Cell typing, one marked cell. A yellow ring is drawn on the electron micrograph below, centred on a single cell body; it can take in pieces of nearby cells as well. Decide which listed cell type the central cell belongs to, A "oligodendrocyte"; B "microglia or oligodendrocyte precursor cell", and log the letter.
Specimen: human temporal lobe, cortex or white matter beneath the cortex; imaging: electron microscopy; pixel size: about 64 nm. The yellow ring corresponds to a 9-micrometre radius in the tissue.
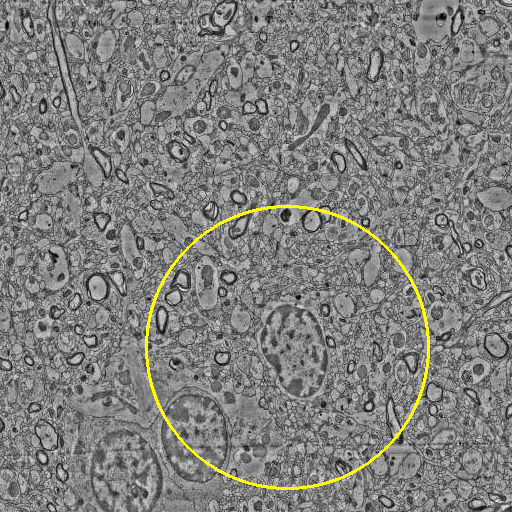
B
